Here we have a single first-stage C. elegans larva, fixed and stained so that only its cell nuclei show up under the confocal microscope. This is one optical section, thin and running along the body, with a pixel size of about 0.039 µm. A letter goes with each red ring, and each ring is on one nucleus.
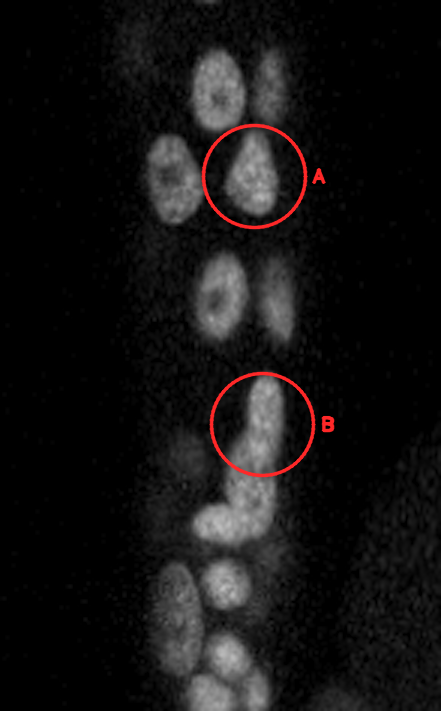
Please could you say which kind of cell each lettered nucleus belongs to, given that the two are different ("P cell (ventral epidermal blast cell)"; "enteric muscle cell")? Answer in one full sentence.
Nucleus A comes from a P cell (ventral epidermal blast cell) and nucleus B from an enteric muscle cell.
